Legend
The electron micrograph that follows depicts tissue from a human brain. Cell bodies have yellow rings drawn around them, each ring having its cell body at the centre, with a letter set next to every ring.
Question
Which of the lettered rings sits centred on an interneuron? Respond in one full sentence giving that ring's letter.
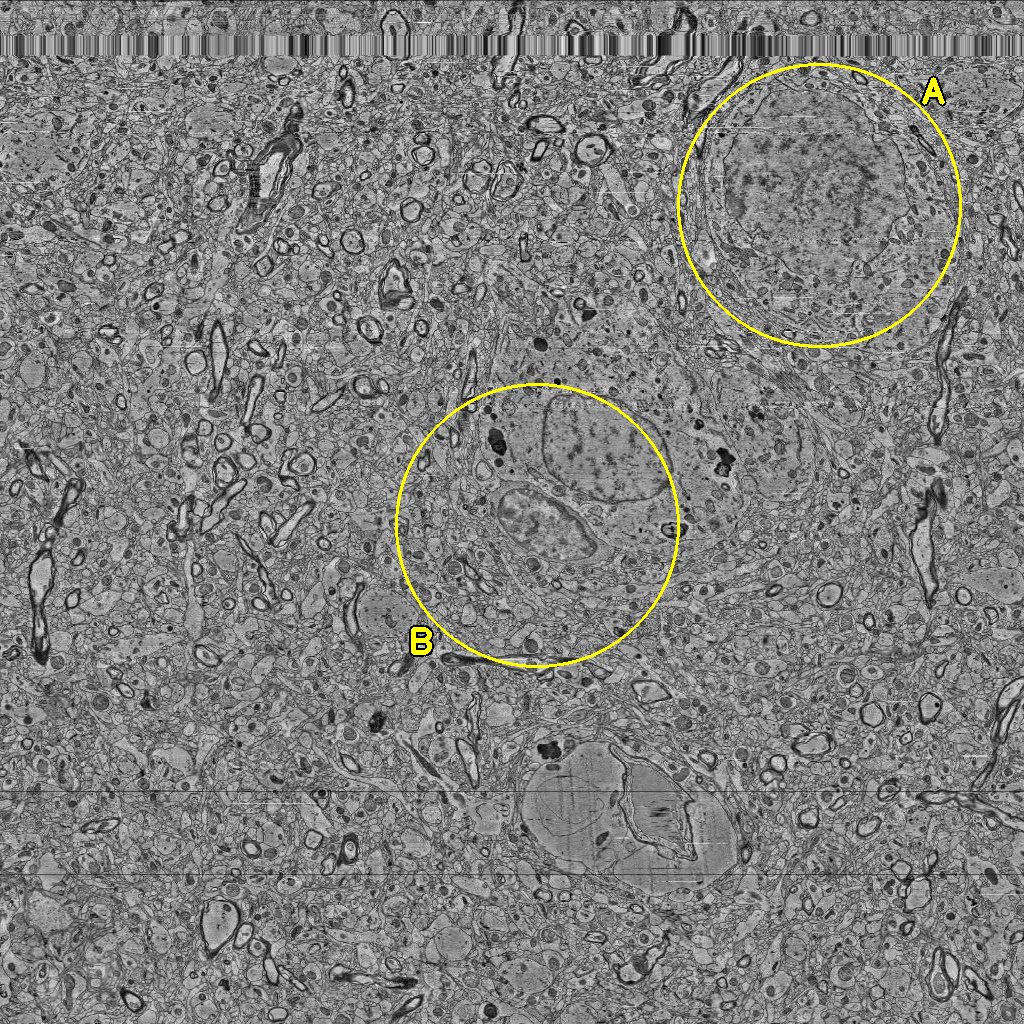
The letter A belongs to the ring centred on the cell asked about in the micrograph.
